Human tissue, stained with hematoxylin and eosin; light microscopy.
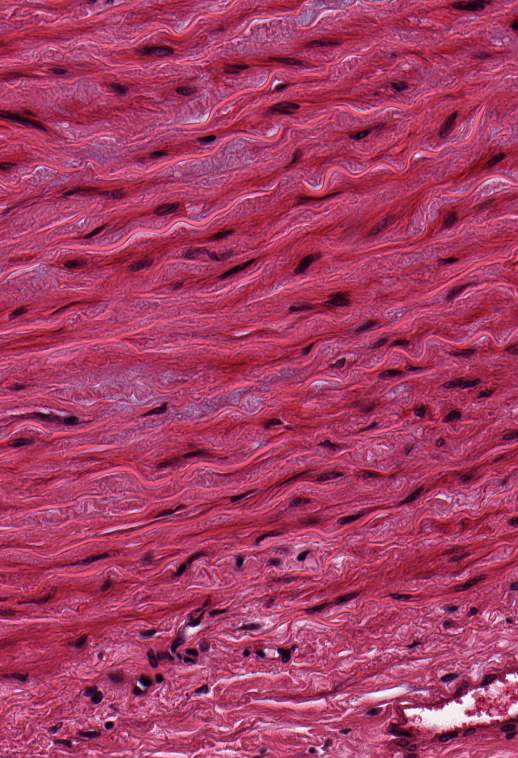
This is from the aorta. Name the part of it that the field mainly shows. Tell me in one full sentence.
What is shown in this section is tunica media.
